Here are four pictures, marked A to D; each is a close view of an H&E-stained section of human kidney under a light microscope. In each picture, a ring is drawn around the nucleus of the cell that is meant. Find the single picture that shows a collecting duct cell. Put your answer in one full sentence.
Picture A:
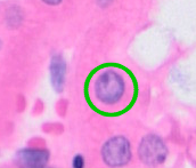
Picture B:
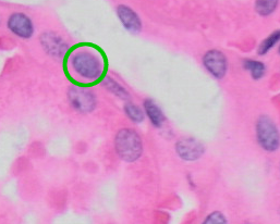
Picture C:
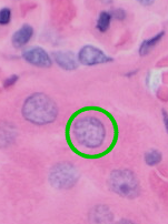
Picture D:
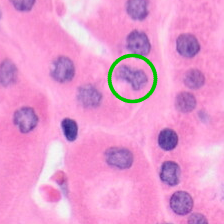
Picture B is the one that shows the collecting duct cell.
